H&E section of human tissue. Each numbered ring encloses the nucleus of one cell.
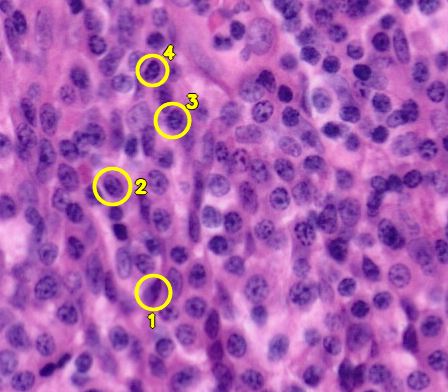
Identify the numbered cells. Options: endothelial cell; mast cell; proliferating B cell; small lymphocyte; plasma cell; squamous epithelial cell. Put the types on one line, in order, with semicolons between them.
squamous epithelial cell; plasma cell; plasma cell; plasma cell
